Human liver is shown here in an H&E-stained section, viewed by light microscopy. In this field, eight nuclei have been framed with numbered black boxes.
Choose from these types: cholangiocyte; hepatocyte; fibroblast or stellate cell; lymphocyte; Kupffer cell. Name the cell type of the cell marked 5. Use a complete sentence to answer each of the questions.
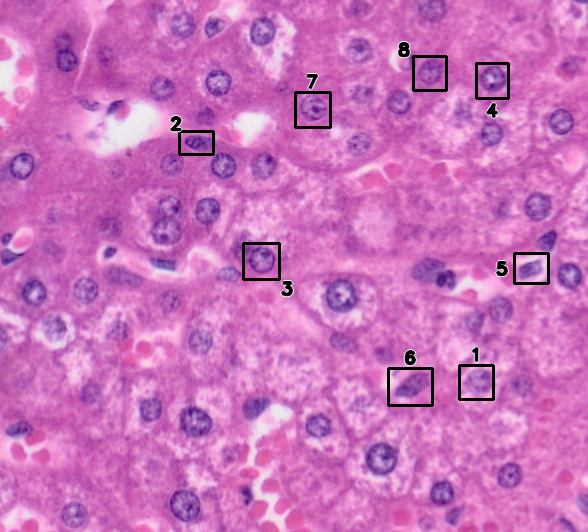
Identified as a lymphocyte is the cell bearing the number 5.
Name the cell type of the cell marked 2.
In this section, number 2 marks a fibroblast or stellate cell.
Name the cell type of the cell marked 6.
The label 6 in this section denotes a Kupffer cell.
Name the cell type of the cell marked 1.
That cell with number 1 is a hepatocyte.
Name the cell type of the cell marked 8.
Cell 8 of the marked set is a hepatocyte.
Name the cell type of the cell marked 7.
The cell tagged with 7 in this tissue section is a hepatocyte.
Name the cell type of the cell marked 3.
Among the marked cells, number 3 is a hepatocyte.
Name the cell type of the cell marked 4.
The label 4 in this section denotes a hepatocyte.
